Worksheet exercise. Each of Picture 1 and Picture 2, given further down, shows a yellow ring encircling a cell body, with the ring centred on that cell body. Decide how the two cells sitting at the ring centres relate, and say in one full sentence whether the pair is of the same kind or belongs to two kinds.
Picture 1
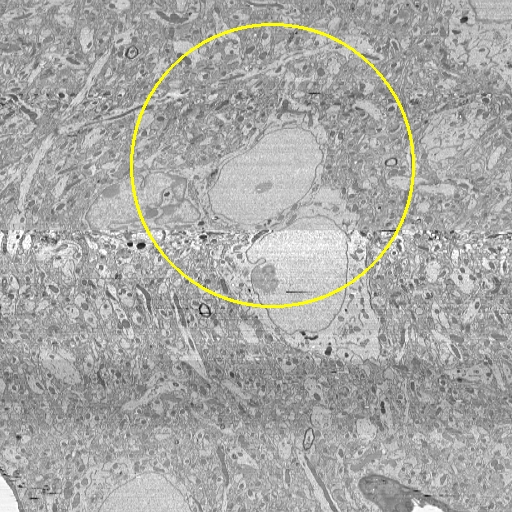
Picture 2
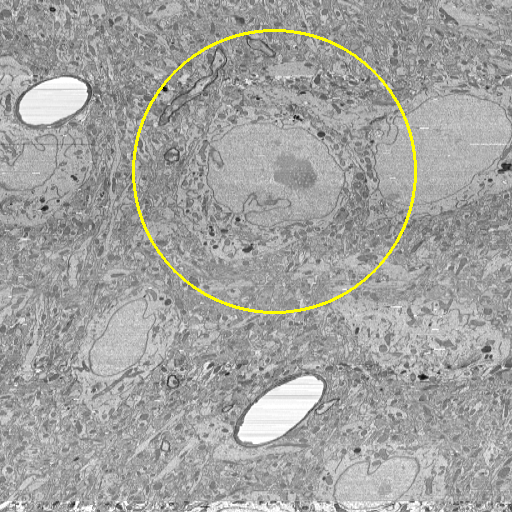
The cells at the ring centres in Picture 1 and Picture 2 belong to two kinds.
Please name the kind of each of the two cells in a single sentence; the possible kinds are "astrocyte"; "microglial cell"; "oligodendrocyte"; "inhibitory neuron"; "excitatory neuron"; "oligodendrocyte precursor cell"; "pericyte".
In the first picture the ring is centred on an excitatory neuron, and in the second on an inhibitory neuron.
